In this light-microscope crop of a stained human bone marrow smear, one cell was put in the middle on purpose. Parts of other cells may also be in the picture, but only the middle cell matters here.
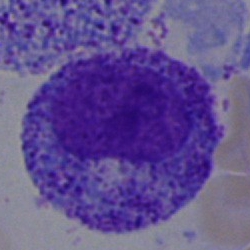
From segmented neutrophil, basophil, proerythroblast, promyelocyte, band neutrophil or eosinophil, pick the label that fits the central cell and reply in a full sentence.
The cell the crop is centered on is a promyelocyte.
